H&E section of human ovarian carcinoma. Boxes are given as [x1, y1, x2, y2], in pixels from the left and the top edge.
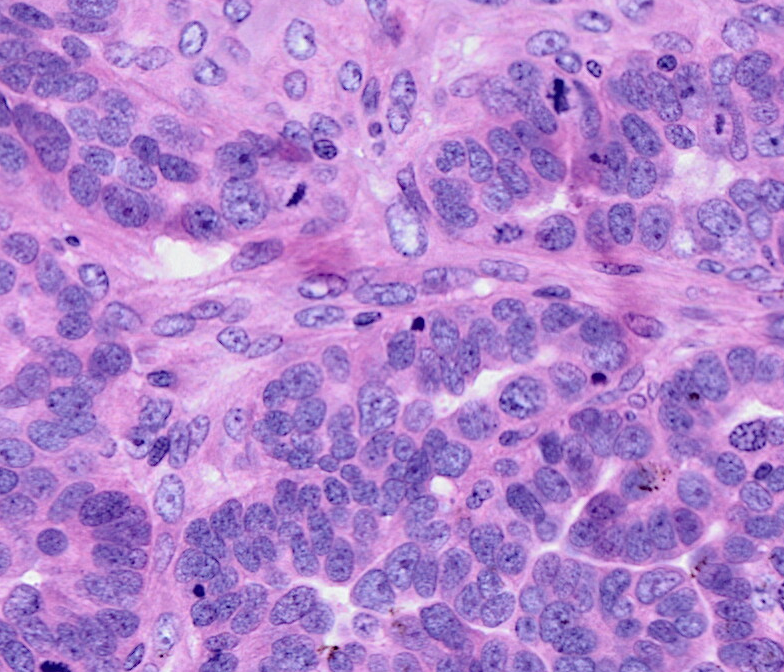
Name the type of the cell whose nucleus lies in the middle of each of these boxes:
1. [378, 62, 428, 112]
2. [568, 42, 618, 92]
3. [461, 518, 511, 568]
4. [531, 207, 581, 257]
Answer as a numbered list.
1. fibroblast
2. lymphocyte
3. carcinoma cell
4. carcinoma cell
